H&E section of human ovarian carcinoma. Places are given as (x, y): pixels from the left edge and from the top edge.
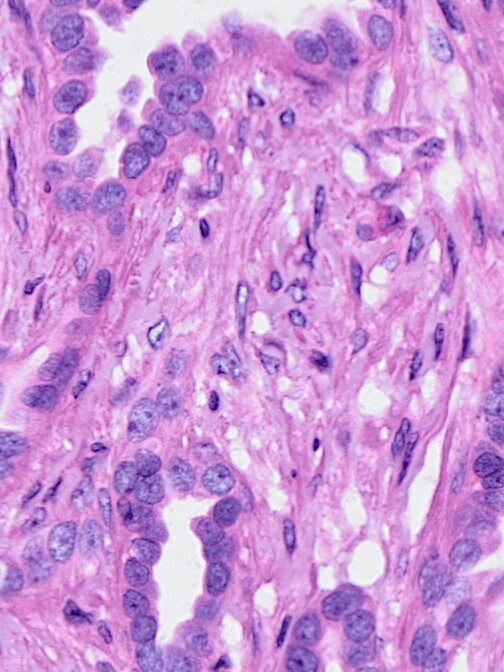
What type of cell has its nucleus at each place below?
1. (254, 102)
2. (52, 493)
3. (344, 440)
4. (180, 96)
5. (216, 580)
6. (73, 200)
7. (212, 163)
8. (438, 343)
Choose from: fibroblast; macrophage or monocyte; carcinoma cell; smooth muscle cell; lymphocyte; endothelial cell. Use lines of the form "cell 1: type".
cell 1: fibroblast
cell 2: fibroblast
cell 3: fibroblast
cell 4: carcinoma cell
cell 5: carcinoma cell
cell 6: carcinoma cell
cell 7: fibroblast
cell 8: fibroblast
